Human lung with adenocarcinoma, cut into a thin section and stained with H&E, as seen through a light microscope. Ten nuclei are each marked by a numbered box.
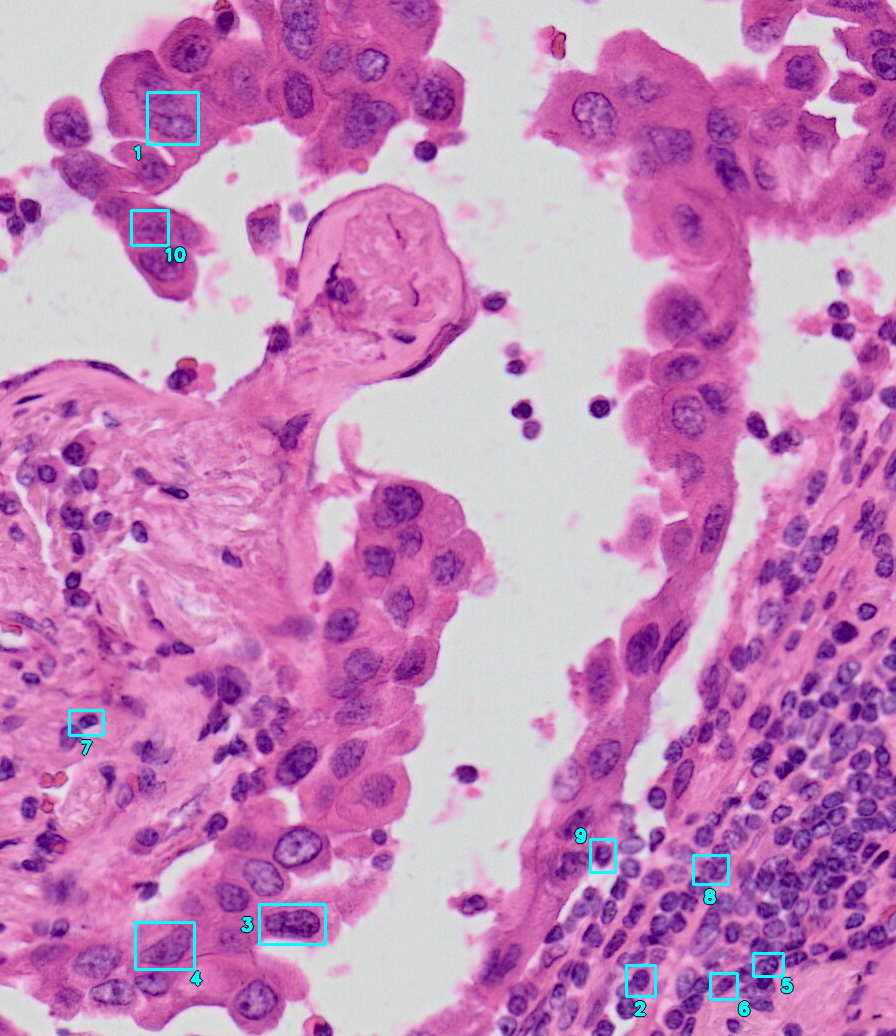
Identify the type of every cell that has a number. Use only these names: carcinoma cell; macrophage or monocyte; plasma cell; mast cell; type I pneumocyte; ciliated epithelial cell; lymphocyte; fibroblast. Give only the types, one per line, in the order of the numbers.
carcinoma cell
lymphocyte
carcinoma cell
carcinoma cell
lymphocyte
lymphocyte
lymphocyte
lymphocyte
lymphocyte
carcinoma cell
